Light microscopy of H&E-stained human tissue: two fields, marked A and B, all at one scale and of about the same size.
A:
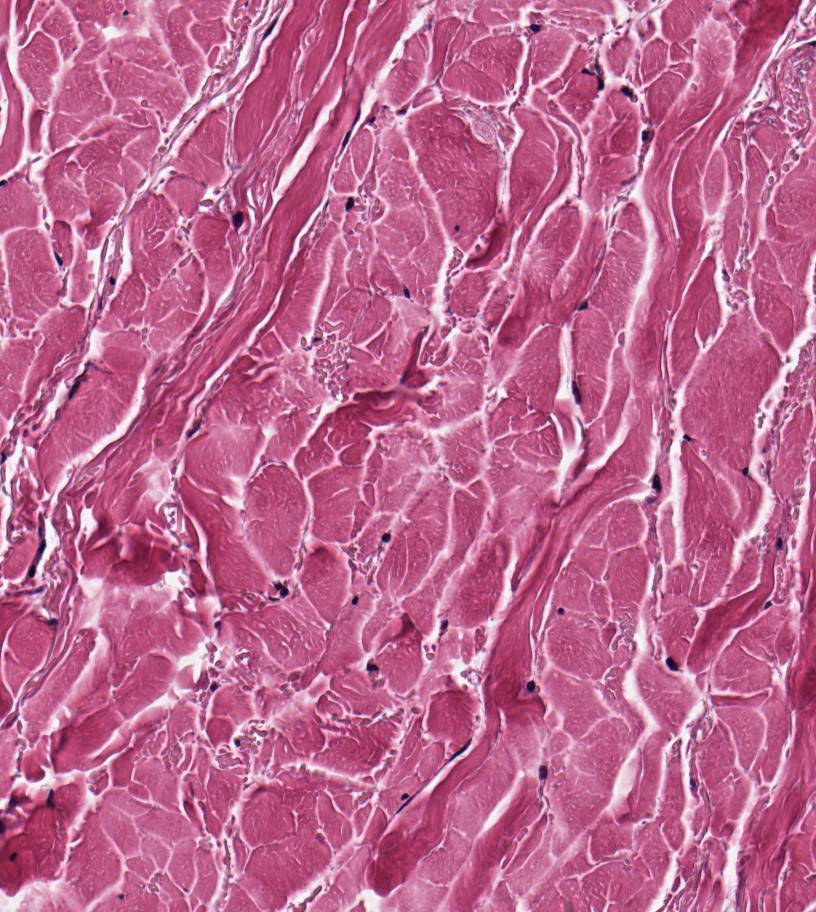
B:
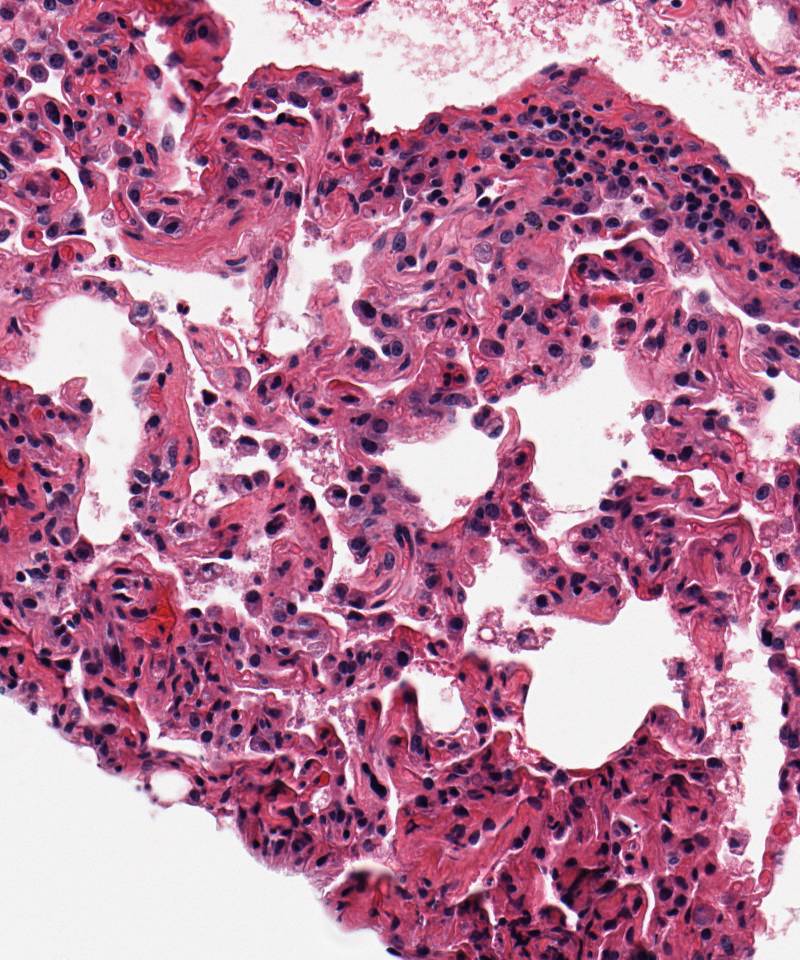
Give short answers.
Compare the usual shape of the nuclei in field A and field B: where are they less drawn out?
B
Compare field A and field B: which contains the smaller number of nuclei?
A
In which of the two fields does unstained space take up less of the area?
A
